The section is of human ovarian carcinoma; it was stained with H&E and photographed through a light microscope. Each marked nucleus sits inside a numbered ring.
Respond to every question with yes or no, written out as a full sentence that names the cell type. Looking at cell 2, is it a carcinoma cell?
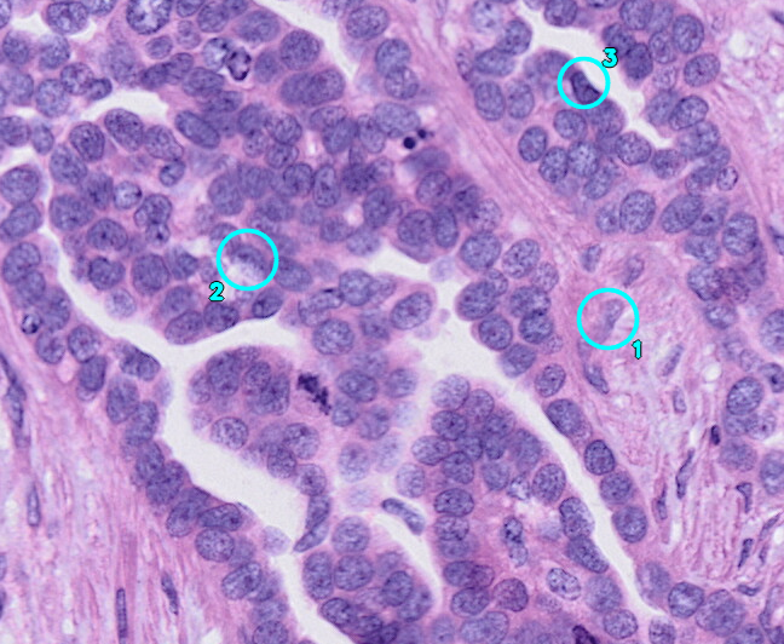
Yes, cell number 2 is classified as a carcinoma cell.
